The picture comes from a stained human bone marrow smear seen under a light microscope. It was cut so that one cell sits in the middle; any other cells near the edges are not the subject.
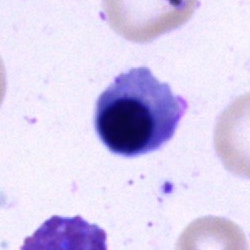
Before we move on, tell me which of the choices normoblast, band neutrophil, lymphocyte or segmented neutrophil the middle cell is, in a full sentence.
At the center of the crop sits a normoblast.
